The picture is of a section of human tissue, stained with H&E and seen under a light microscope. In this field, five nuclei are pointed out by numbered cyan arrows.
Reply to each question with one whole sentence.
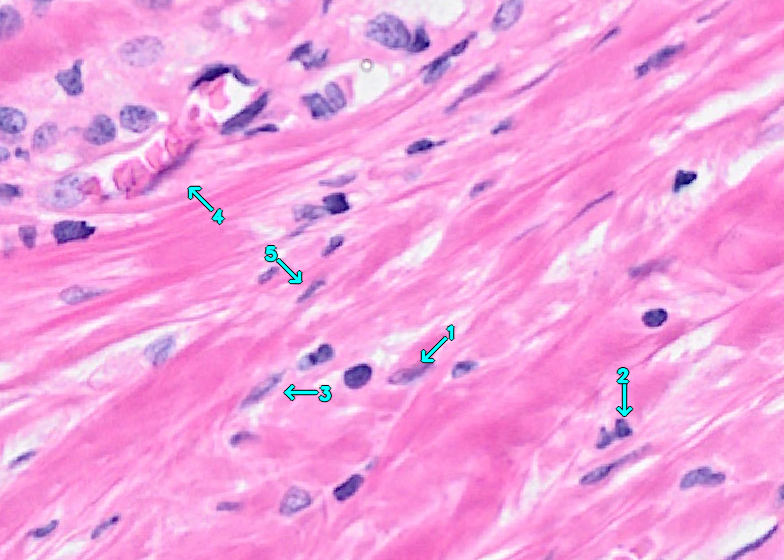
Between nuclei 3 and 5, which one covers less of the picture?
With nucleus 3 about 2 times its size, nucleus 5 is the smaller of the two.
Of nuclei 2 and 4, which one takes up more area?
The larger nucleus is 4, at roughly 1.5 times the area of 2.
